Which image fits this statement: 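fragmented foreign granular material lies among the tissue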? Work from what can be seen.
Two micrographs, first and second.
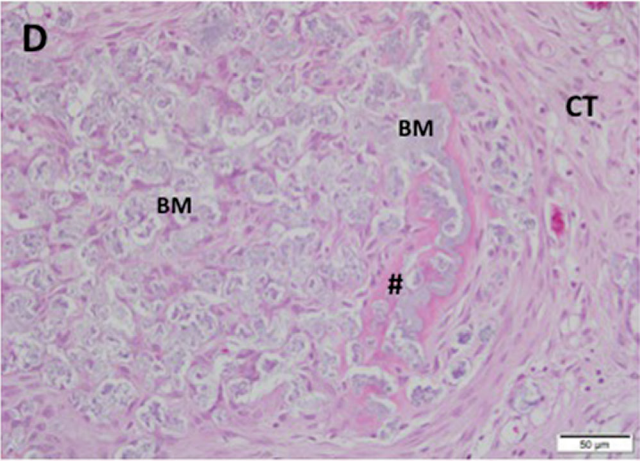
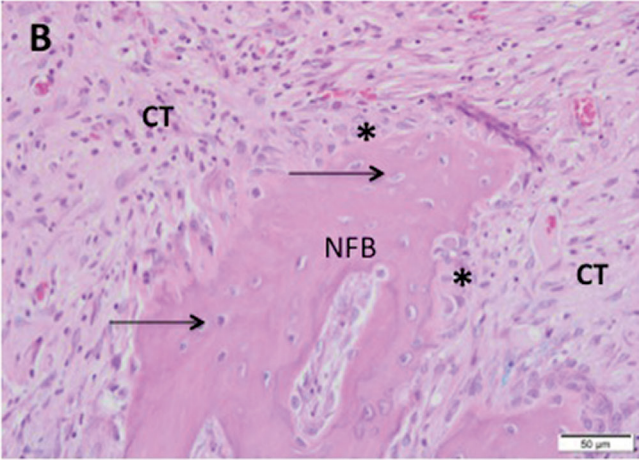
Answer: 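First image: a large area of pale, fragmented granular material clustered in the tissue. Second image: only bone and connective tissue with cells, no foreign granular material. So: the first image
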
